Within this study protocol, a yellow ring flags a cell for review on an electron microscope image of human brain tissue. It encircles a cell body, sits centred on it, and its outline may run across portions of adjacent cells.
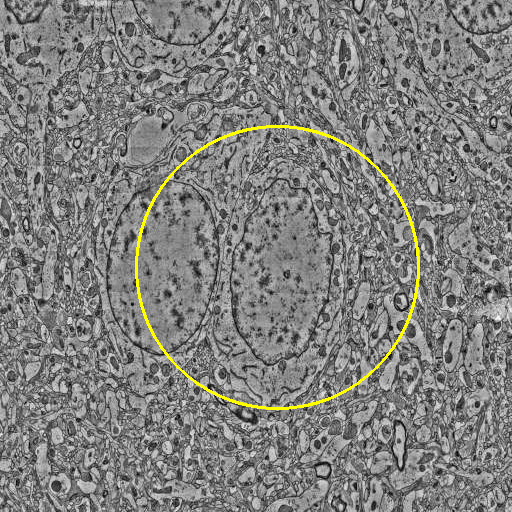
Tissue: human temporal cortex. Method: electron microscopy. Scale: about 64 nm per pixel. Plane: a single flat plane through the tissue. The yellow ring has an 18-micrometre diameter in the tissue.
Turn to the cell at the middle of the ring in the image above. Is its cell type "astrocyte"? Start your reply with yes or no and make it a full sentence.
No, the cell at the ring's centre in the image above has another cell type.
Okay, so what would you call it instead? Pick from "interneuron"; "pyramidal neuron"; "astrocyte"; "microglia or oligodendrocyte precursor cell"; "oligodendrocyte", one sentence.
The cell this ring marks is a pyramidal neuron.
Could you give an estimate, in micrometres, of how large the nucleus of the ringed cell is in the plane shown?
The nucleus measures about 12 by 6 micrometres, so it is clearly longer than it is wide in this plane.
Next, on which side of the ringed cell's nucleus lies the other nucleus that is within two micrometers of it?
The other one is to the left of it.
